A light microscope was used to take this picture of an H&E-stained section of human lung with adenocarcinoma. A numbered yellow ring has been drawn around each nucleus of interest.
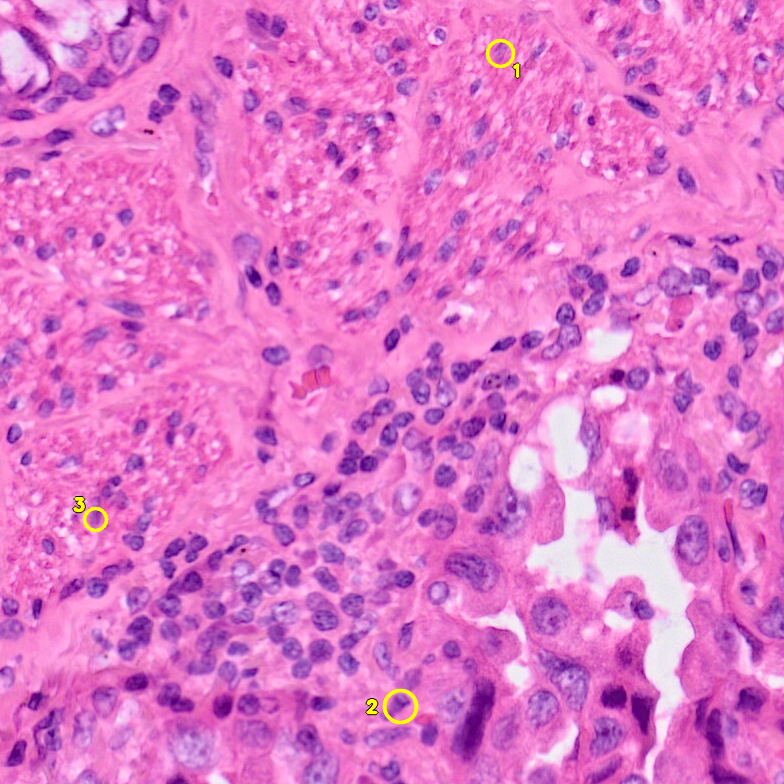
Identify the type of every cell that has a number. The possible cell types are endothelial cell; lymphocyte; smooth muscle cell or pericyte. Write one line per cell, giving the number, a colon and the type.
1: smooth muscle cell or pericyte
2: lymphocyte
3: smooth muscle cell or pericyte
